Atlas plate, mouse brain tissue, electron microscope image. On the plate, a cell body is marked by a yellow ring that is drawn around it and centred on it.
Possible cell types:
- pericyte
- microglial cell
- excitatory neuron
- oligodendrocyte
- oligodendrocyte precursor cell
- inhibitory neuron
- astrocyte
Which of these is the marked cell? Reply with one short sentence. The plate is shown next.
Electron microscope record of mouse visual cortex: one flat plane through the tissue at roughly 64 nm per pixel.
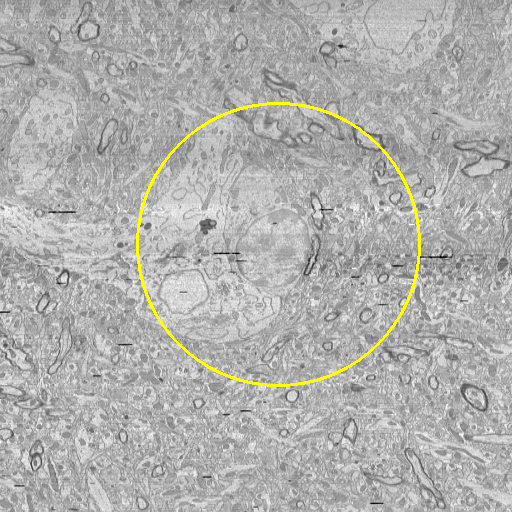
The marked cell is an oligodendrocyte.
